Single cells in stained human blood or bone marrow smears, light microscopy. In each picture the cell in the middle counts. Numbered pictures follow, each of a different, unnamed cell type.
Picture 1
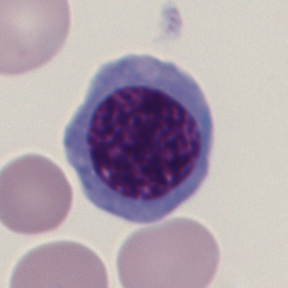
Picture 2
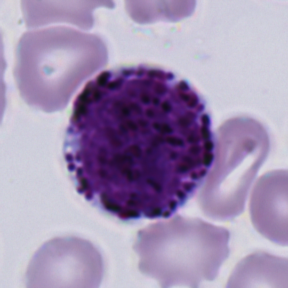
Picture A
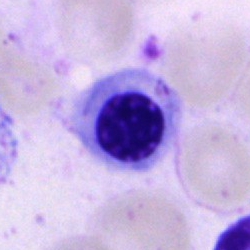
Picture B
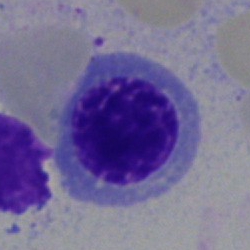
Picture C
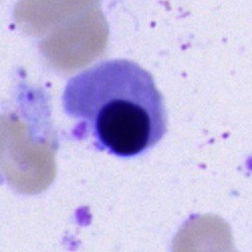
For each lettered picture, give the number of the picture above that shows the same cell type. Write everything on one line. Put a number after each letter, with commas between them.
A 1, B 1, C 1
